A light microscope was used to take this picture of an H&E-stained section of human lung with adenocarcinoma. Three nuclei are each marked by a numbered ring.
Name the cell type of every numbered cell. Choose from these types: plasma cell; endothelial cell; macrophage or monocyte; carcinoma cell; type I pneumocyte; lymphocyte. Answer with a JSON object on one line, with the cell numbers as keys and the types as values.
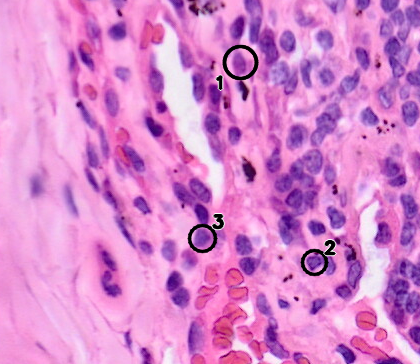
{"1": "plasma cell", "2": "lymphocyte", "3": "lymphocyte"}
